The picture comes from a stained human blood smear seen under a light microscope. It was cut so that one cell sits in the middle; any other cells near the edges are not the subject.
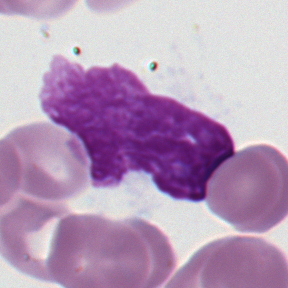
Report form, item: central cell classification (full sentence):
Classification of the middle cell gives a smudge cell.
